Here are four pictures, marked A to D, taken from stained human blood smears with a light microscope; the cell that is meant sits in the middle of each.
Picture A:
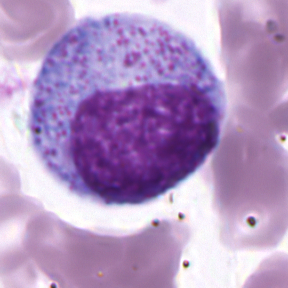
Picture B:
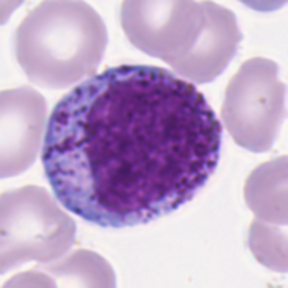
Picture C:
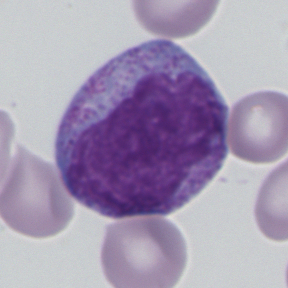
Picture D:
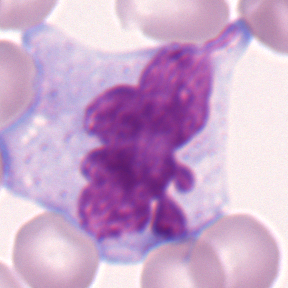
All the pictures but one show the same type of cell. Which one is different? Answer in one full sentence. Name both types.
All pictures except D show promyelocytes; picture D shows a monocyte.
